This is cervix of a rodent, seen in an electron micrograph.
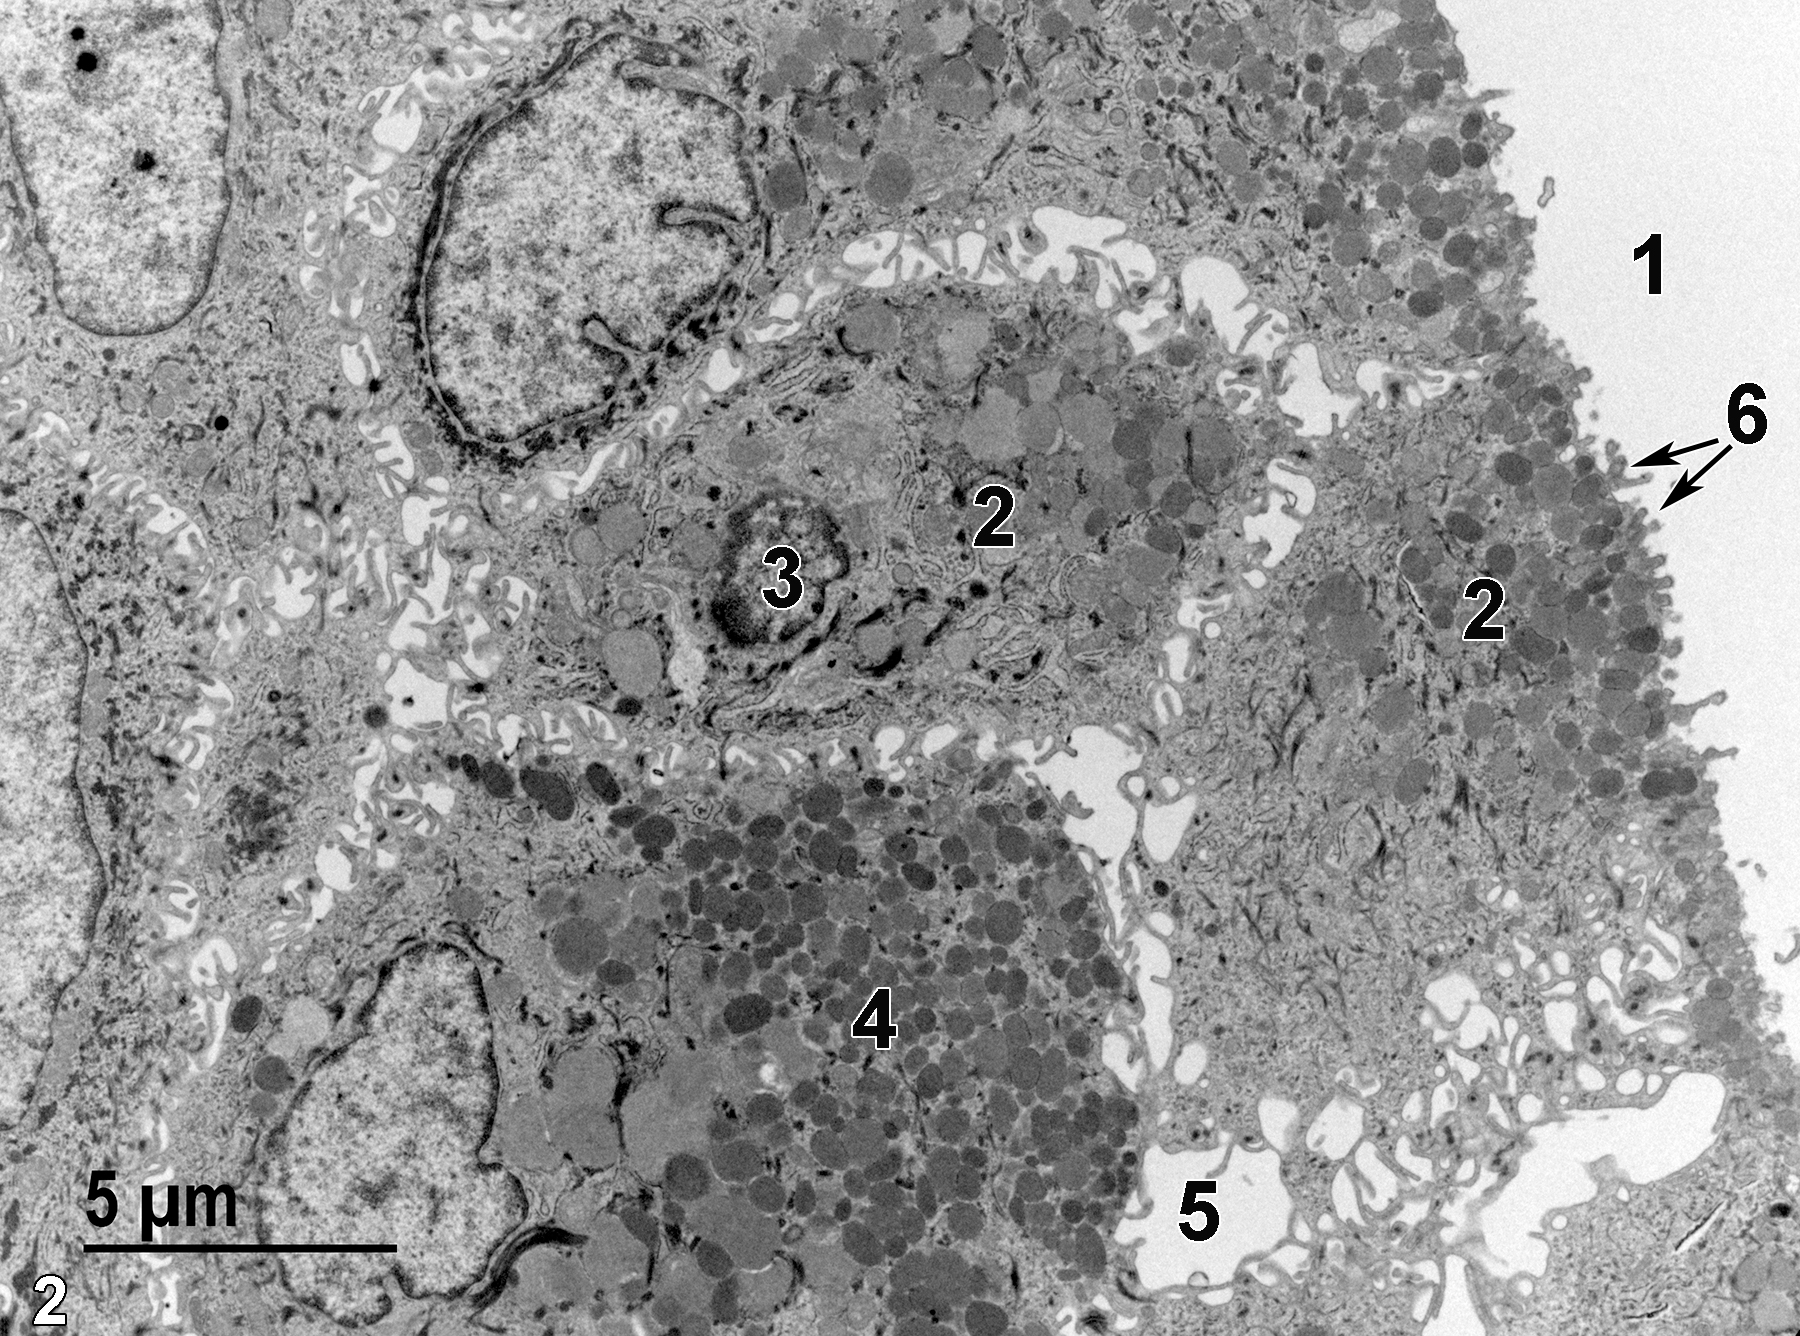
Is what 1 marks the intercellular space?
No, it marks the cervical lumen; the intercellular space is at 5.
